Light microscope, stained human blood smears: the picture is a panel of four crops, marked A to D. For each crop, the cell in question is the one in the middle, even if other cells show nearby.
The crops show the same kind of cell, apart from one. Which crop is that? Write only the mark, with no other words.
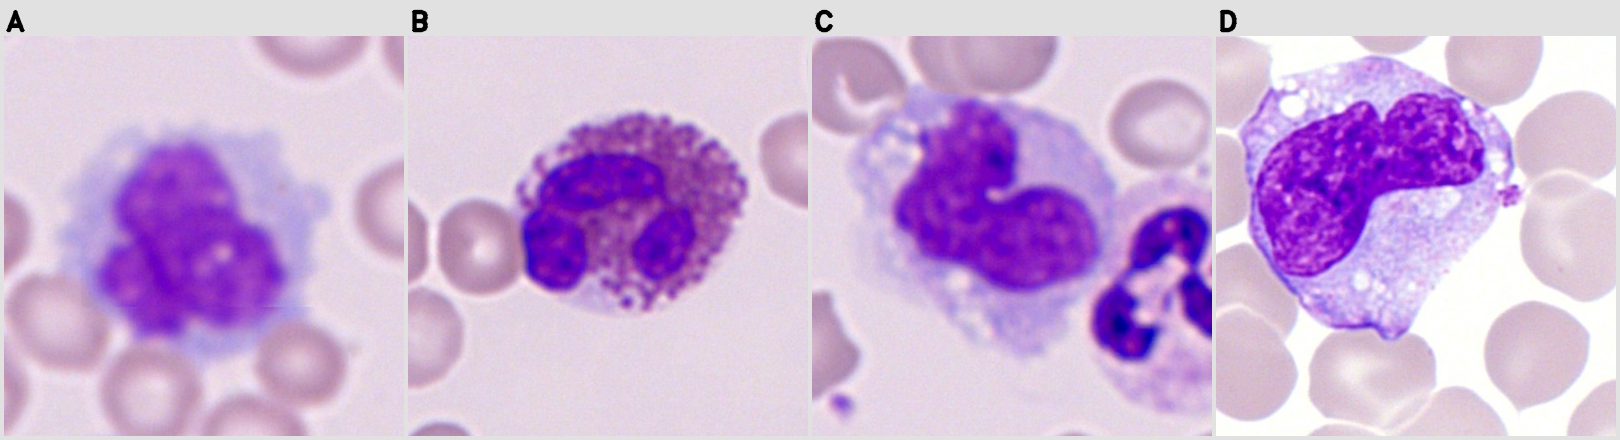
B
